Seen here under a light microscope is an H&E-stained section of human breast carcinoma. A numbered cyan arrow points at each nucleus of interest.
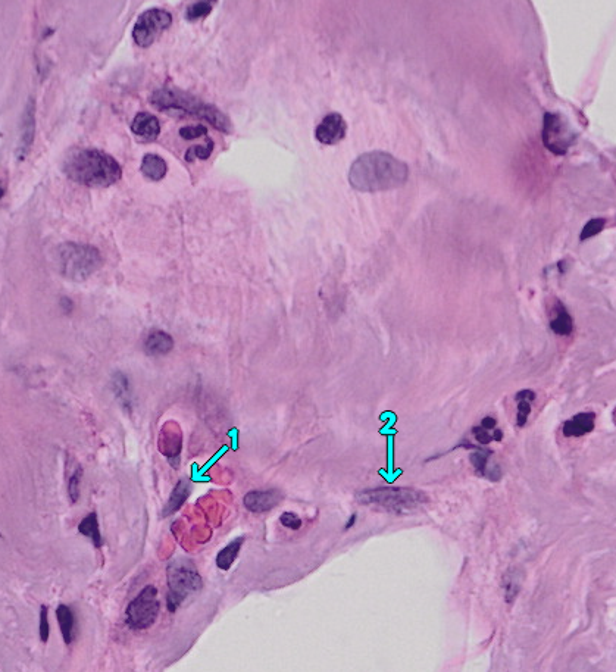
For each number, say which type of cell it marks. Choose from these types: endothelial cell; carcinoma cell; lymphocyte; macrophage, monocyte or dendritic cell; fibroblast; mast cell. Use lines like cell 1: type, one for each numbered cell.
cell 1: endothelial cell
cell 2: fibroblast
